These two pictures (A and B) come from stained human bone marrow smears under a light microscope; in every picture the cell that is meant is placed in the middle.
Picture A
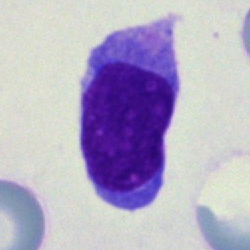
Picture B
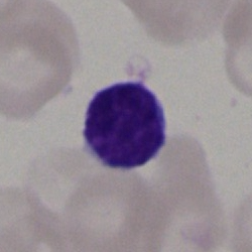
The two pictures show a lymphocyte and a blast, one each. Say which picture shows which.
A: blast
B: lymphocyte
